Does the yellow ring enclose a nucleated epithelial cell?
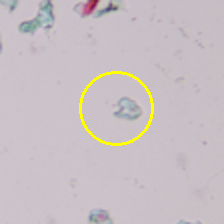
No. The ring encloses a cornified epithelial cell.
